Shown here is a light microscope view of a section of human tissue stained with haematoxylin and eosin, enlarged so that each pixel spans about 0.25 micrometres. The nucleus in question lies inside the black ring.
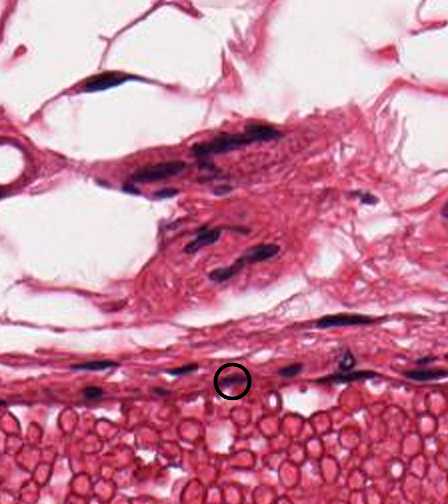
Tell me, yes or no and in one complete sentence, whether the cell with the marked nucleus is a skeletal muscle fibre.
No, the marked nucleus belongs to a supporting cell of connective tissue, a vessel or the immune system, not to a skeletal muscle fibre.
